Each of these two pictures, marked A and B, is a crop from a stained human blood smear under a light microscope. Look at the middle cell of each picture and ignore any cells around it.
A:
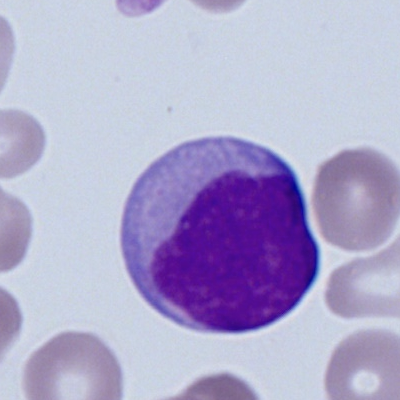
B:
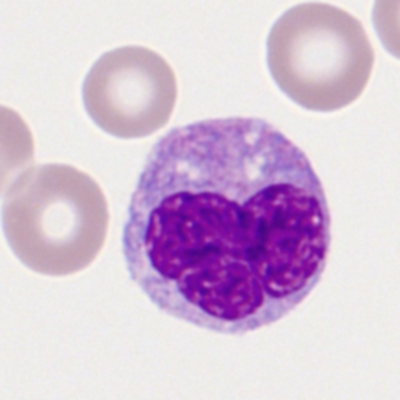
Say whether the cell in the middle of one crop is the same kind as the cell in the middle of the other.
no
